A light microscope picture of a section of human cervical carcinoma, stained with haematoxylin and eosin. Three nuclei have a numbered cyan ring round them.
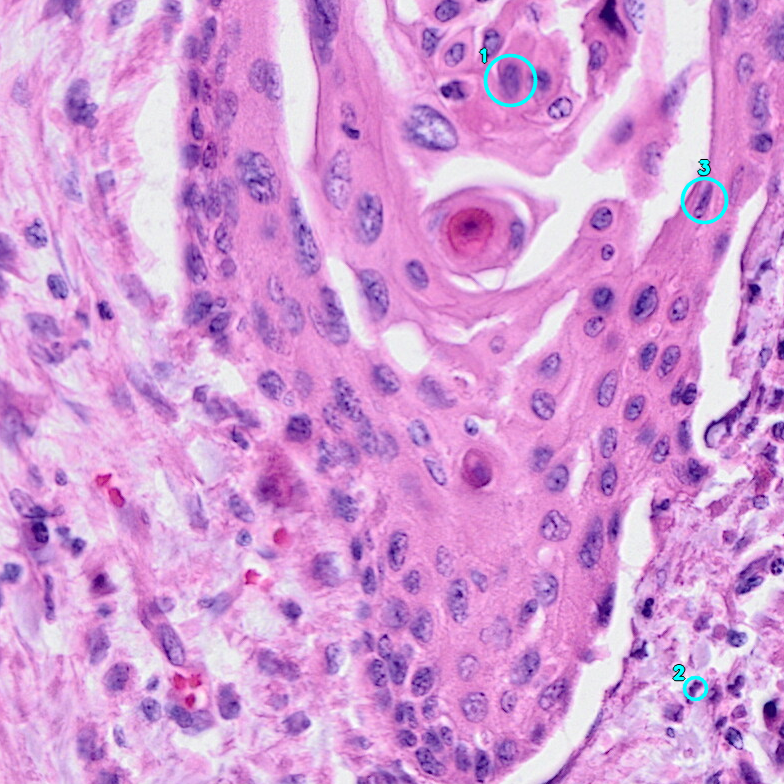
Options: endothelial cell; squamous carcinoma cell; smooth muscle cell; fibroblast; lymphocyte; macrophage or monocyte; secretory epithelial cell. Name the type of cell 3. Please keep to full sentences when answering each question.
The cell that carries the label 3 is a squamous carcinoma cell.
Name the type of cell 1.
It is as a squamous carcinoma cell that the cell numbered 1 is identified.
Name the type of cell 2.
The nucleus labeled 2 belongs to a fibroblast.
